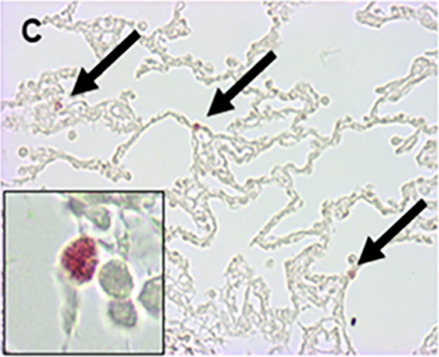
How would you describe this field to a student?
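Lung parenchyma with thin alveolar walls around wide air spaces, in which only a few isolated eosinophils stand out by their red-stained cytoplasm. At higher power one eosinophil is a round cell packed with red granules lying beside pale, unstained cells.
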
